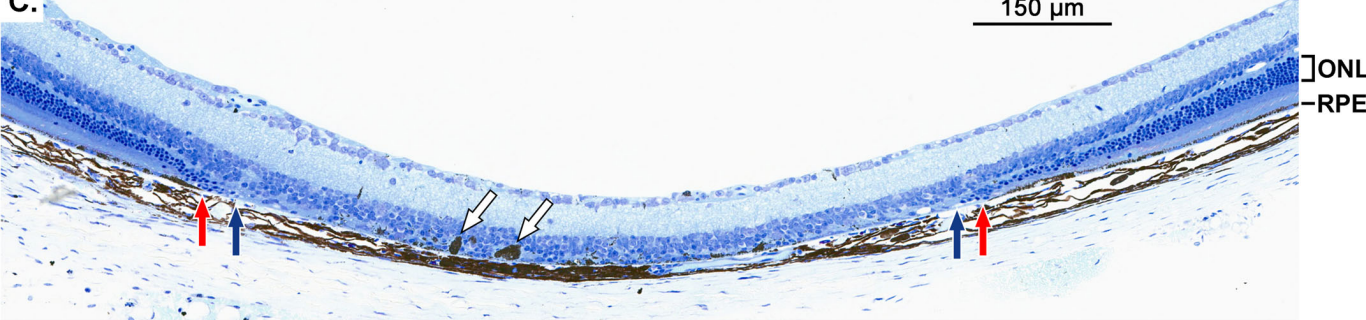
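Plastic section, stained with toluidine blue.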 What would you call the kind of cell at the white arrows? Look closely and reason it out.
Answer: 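Dark brown-black rounded clumps sit in the outer retina at the white arrows. The clumps lie within the central thinned region, above the choroid.
Hence: pigmented cells.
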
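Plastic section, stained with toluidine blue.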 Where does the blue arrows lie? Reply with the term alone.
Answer: Where photoreceptor nuclei end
